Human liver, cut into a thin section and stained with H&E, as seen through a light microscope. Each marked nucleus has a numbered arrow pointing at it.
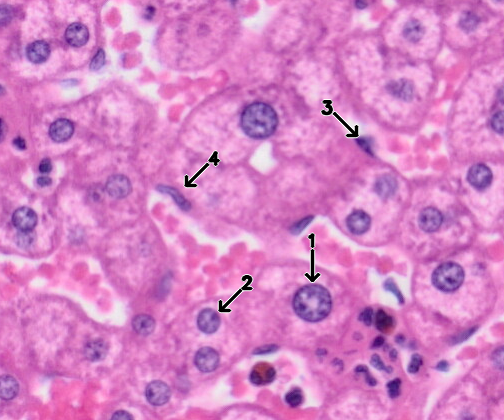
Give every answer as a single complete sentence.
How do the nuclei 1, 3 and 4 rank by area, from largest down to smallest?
Going from the biggest nucleus down to the smallest gives 1, 4, 3.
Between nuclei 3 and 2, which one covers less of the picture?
It is nucleus 3; nucleus 2 has about 1.5 times its area.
